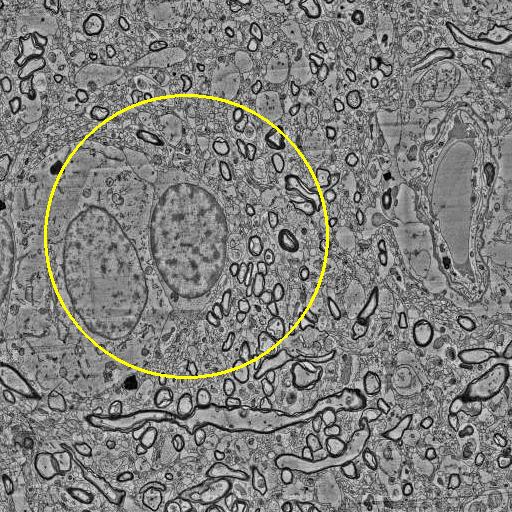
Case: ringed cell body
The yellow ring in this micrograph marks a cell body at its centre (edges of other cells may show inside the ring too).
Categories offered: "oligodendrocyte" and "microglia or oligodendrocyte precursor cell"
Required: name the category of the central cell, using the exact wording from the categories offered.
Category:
oligodendrocyte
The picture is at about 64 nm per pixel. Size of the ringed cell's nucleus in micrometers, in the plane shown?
The ringed cell's nucleus is about 7 micrometres long and 5 micrometres wide in this plane.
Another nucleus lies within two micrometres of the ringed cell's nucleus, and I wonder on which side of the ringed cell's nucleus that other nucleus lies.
That nucleus lies to the lower left of it.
